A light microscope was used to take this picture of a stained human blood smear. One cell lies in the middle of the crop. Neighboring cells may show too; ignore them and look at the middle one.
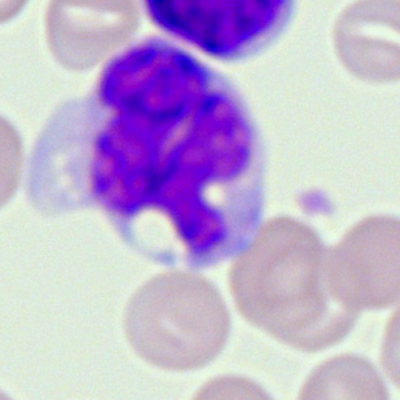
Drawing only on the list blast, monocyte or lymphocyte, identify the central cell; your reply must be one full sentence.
Here the centrally located cell is a monocyte.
